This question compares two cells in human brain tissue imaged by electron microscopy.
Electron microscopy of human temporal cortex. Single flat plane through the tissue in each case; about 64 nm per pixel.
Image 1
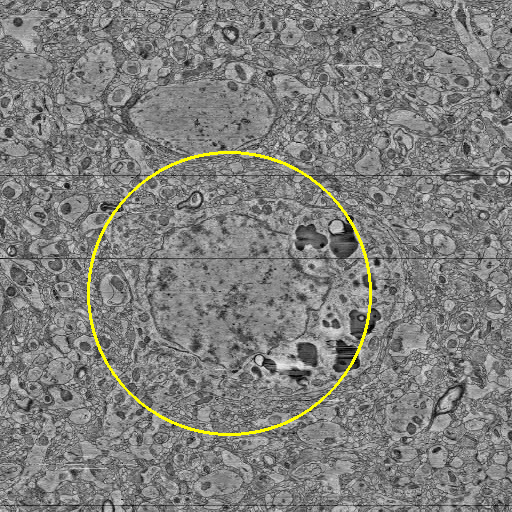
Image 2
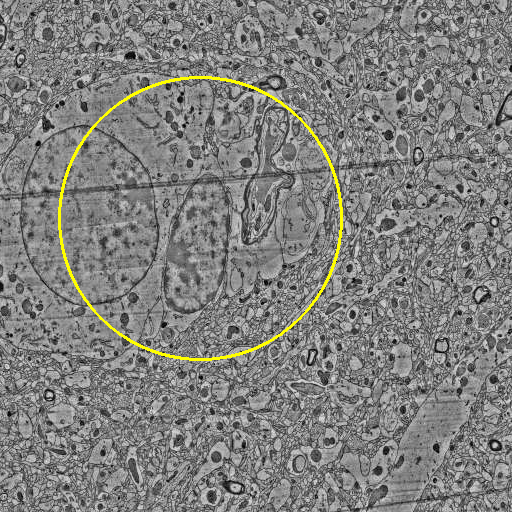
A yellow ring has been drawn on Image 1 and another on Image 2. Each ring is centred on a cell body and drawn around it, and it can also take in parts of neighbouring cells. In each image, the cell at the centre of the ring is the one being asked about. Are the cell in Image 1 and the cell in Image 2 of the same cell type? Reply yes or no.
yes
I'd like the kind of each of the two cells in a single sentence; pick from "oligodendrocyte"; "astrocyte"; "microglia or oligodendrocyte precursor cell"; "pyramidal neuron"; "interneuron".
Both pictures show a microglial cell or oligodendrocyte precursor cell at the centre of the ring.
